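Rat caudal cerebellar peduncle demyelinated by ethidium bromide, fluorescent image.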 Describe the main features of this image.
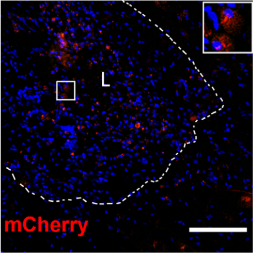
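The tissue outside the line holds fewer, more evenly spaced nuclei. An inset enlarges a red cell lying beside blue nuclei.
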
